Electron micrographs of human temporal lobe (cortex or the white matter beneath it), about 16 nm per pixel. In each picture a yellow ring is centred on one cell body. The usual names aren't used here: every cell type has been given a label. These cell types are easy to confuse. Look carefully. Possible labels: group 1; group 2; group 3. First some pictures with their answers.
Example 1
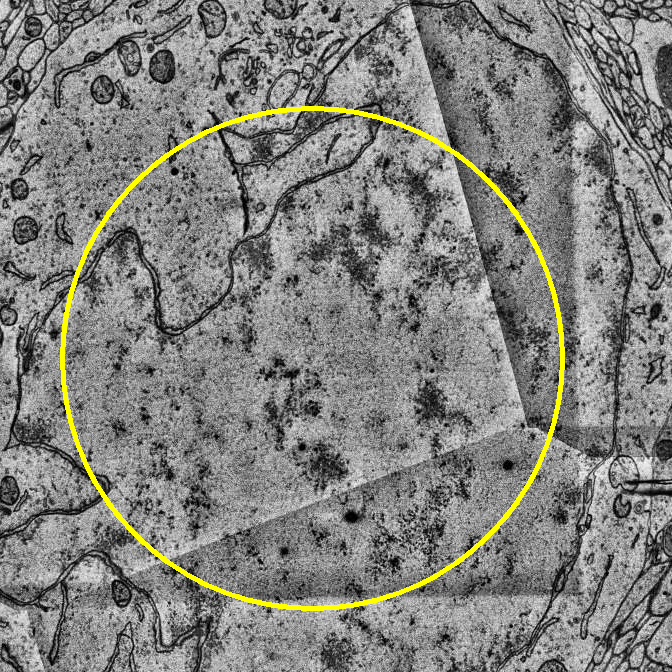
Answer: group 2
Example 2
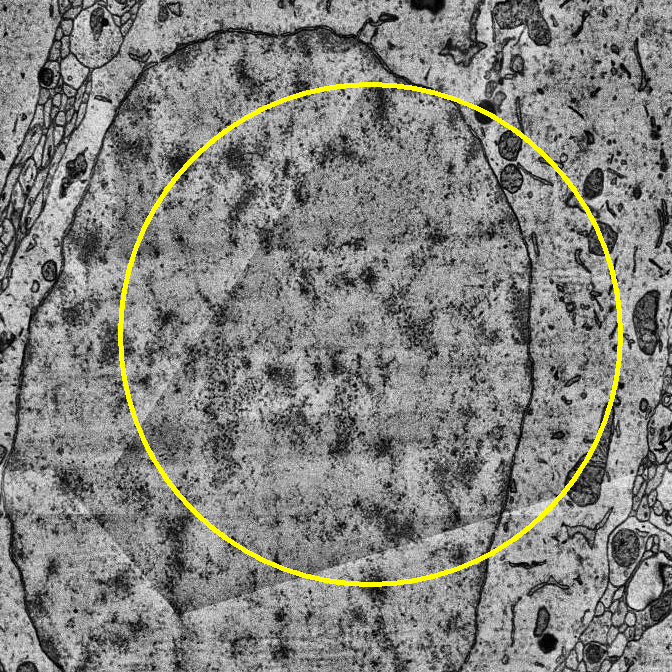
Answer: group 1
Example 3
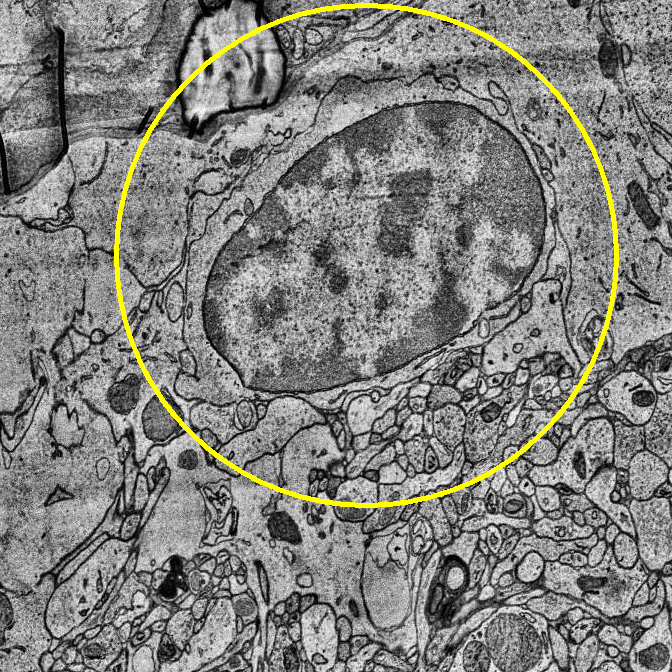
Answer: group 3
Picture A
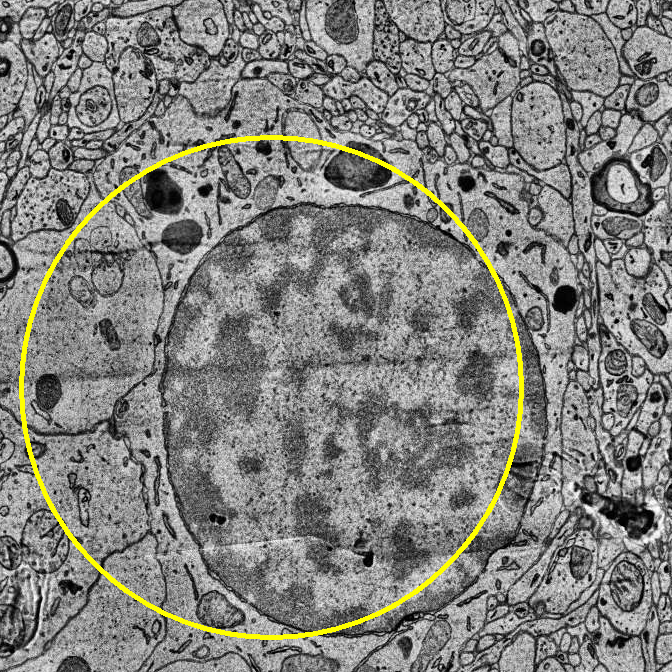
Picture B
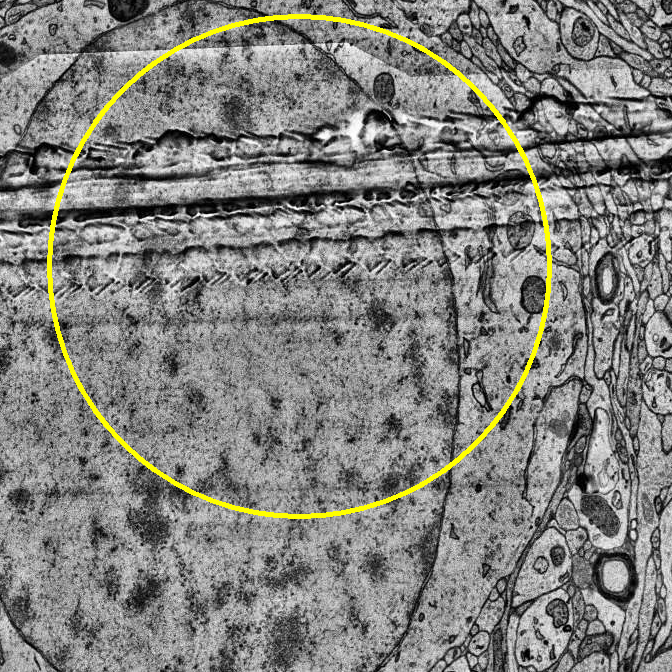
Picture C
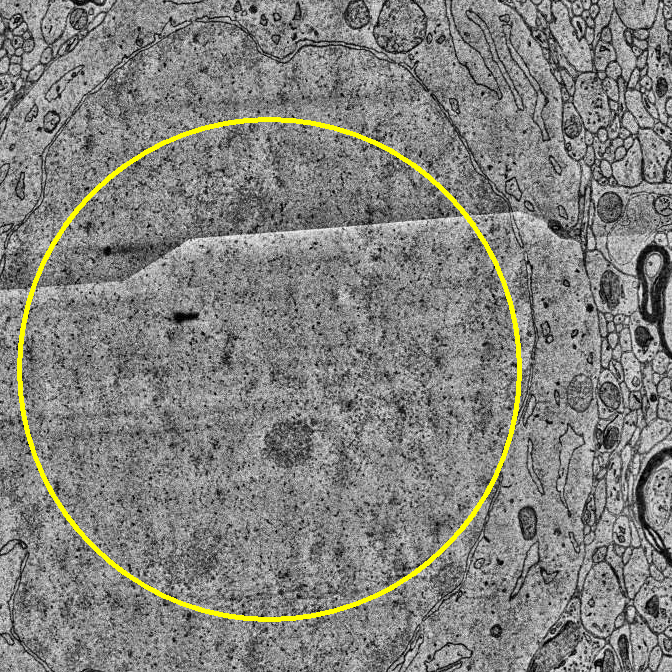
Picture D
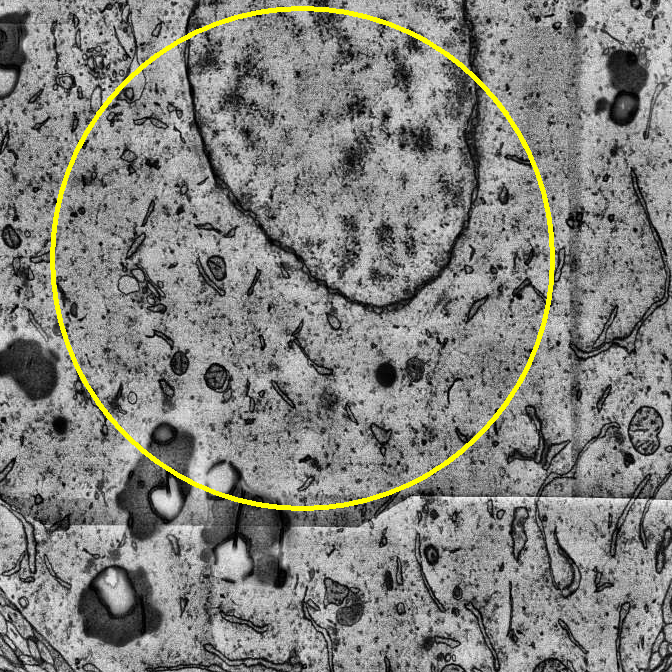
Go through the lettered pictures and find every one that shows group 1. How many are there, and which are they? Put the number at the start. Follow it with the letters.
2: B, D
